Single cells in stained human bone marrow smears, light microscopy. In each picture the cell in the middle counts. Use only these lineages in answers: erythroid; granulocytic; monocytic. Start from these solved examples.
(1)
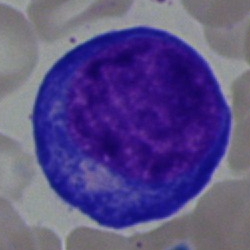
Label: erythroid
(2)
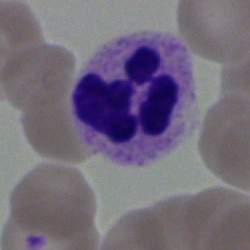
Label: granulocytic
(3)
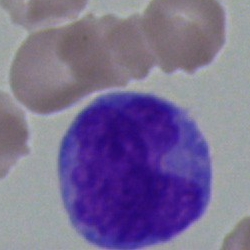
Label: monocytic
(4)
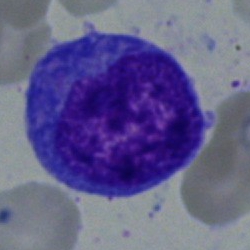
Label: granulocytic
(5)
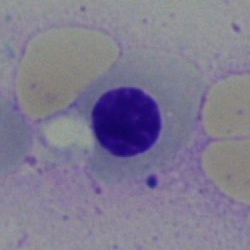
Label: erythroid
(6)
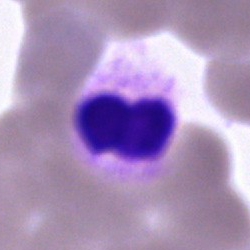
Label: granulocytic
